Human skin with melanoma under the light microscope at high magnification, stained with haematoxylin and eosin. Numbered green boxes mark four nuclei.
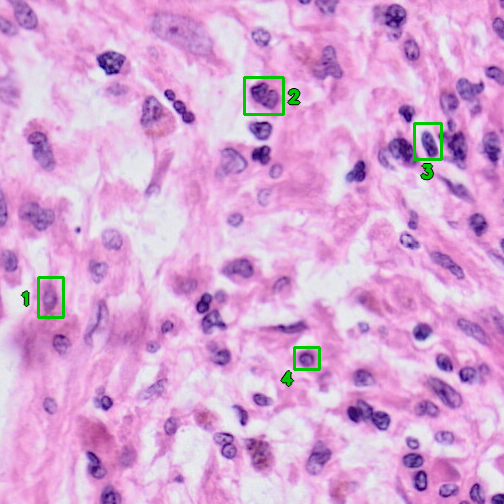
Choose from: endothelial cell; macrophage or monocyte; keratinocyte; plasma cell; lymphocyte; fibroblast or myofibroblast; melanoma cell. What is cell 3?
lymphocyte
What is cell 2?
macrophage or monocyte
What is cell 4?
macrophage or monocyte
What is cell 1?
macrophage or monocyte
